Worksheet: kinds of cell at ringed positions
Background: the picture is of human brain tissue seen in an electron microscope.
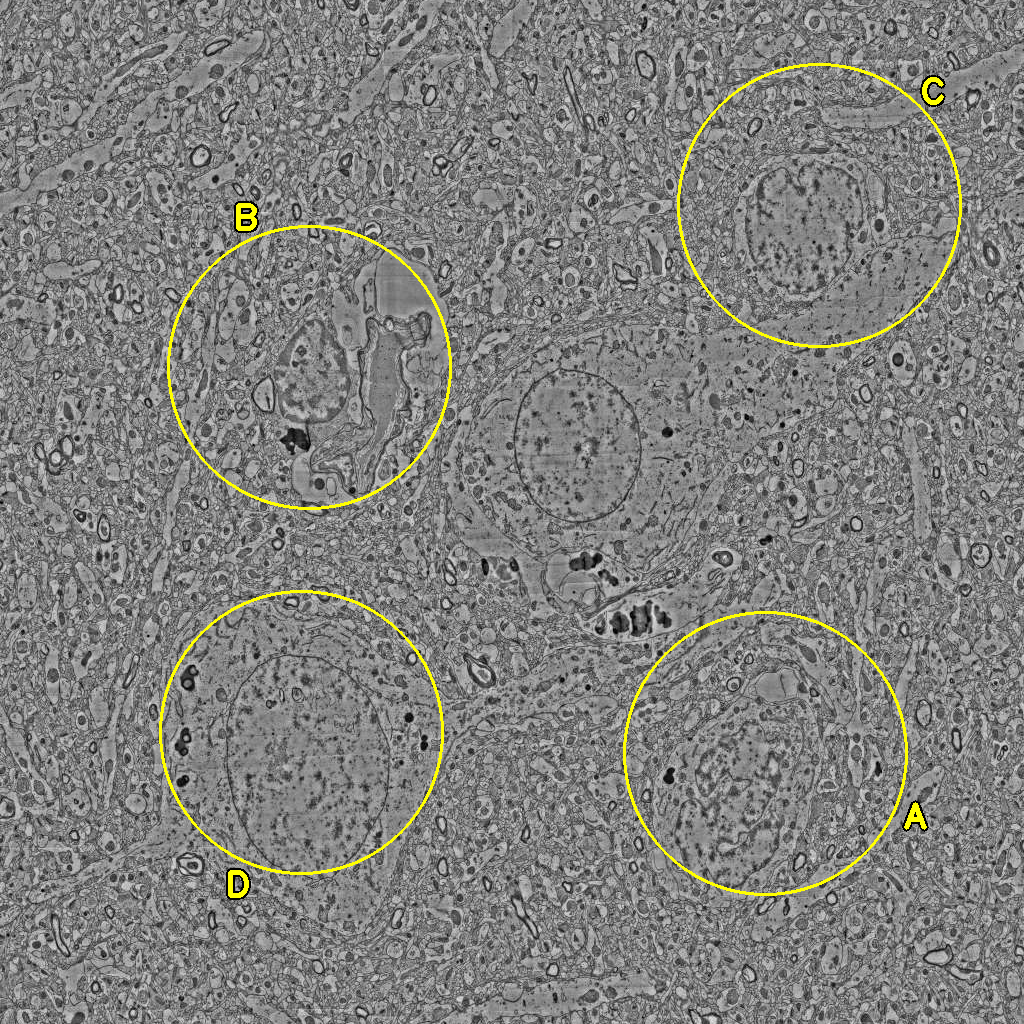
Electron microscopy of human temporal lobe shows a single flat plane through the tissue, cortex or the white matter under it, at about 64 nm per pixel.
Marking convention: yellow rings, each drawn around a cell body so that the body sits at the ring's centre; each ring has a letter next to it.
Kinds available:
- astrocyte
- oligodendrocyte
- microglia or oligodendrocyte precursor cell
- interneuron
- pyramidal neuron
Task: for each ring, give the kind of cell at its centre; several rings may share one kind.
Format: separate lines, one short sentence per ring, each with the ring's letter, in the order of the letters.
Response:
Ring A is drawn around an interneuron.
Ring B is drawn around an oligodendrocyte.
Ring C is drawn around an interneuron.
Ring D is drawn around a pyramidal neuron.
